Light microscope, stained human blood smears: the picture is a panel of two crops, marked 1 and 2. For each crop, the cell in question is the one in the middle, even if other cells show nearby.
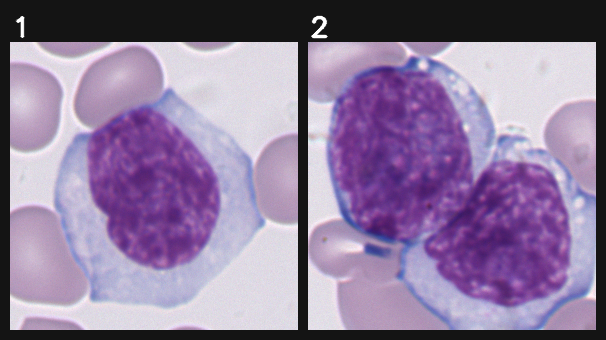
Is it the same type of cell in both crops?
yes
